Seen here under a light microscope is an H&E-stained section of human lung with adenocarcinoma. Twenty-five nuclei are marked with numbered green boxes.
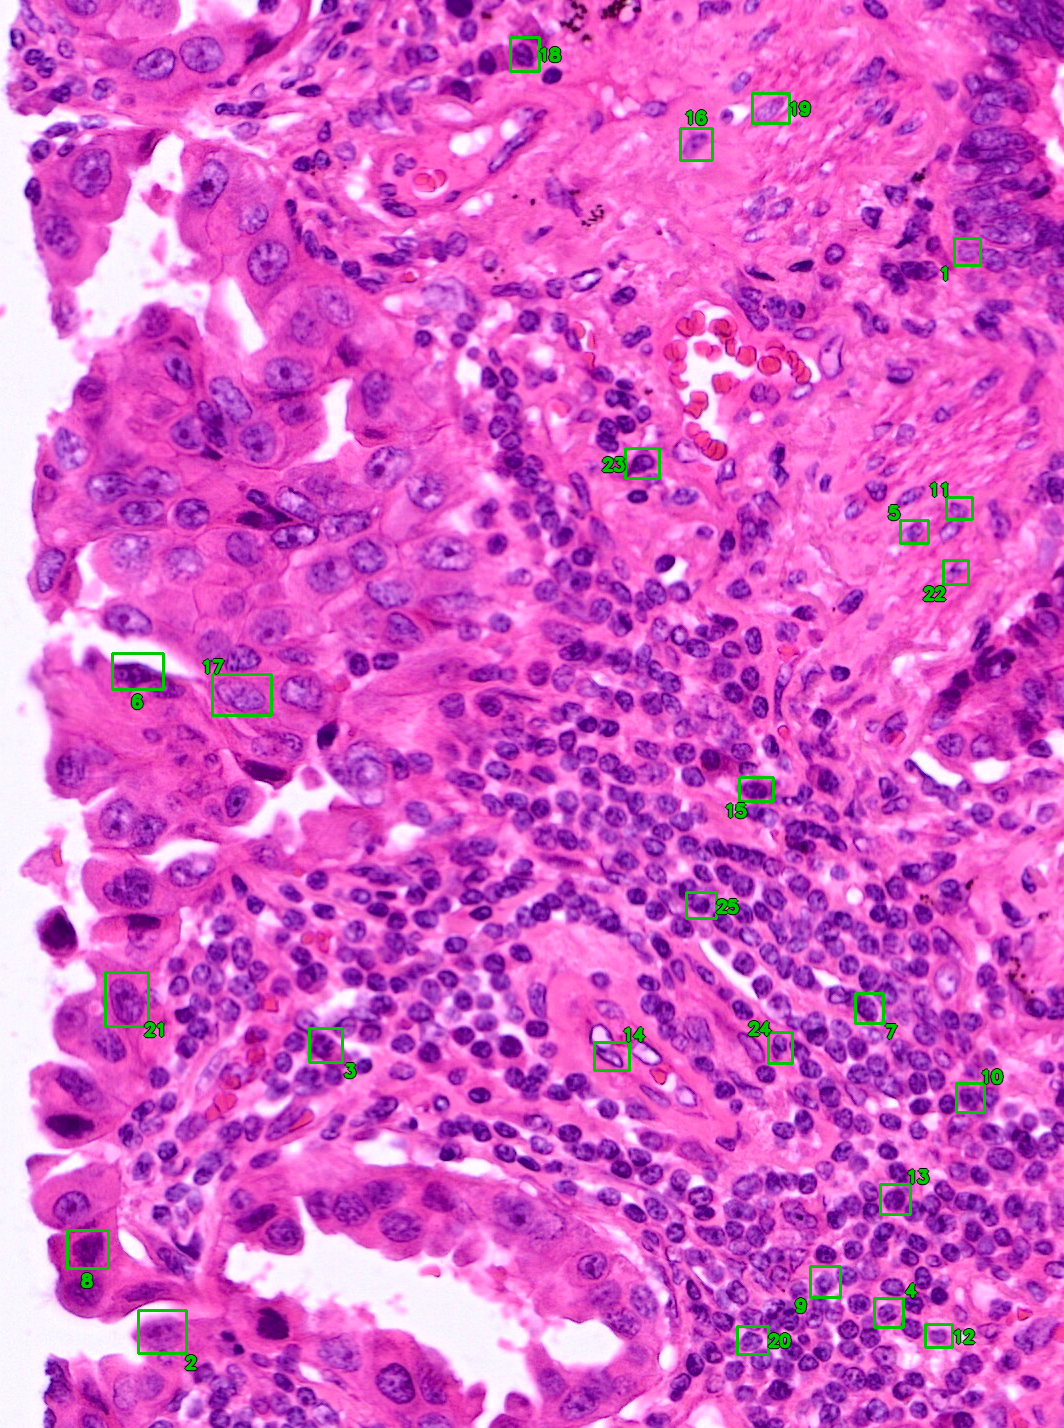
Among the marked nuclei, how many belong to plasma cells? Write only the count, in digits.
4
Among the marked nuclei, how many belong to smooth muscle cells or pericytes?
4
